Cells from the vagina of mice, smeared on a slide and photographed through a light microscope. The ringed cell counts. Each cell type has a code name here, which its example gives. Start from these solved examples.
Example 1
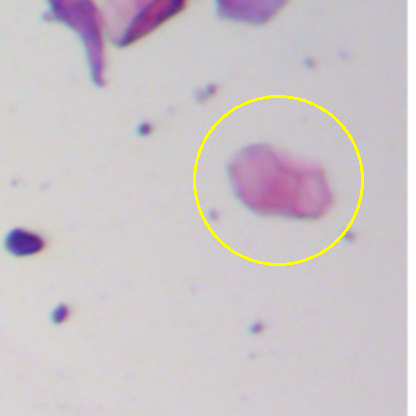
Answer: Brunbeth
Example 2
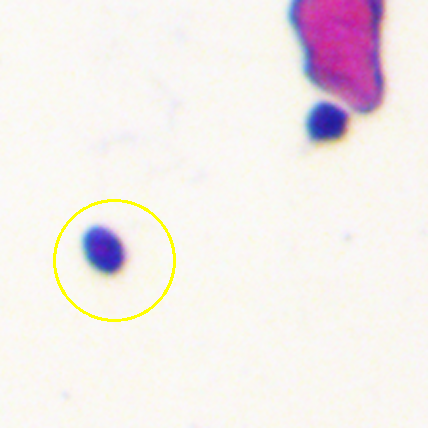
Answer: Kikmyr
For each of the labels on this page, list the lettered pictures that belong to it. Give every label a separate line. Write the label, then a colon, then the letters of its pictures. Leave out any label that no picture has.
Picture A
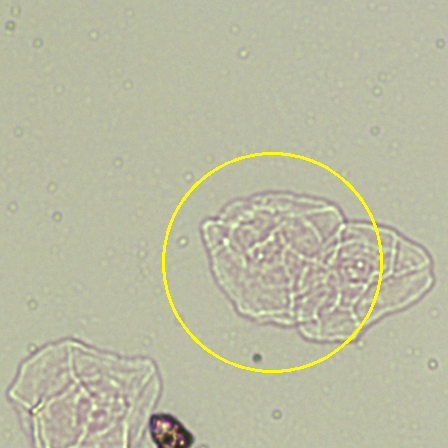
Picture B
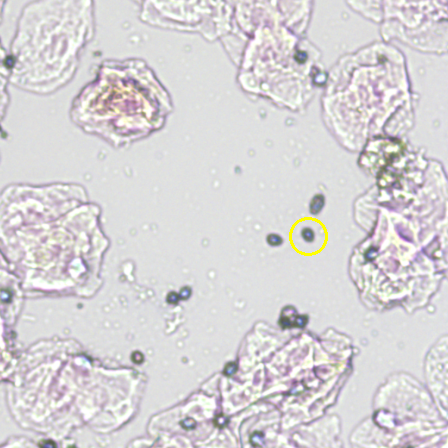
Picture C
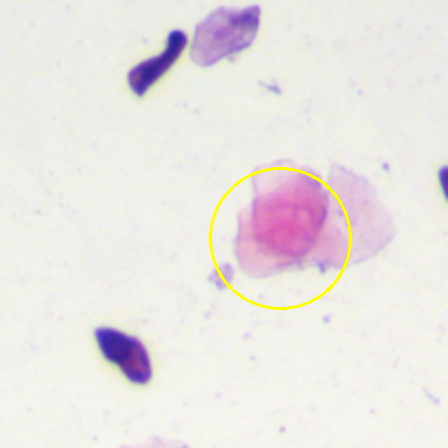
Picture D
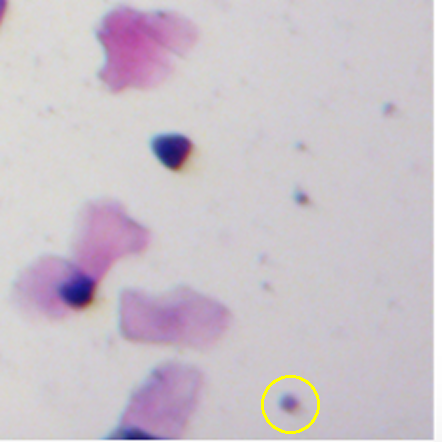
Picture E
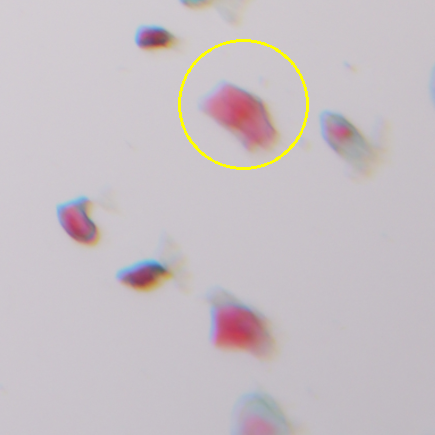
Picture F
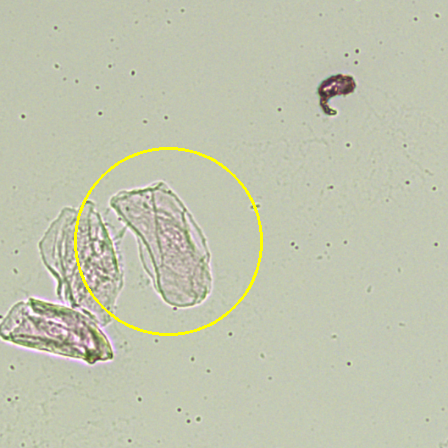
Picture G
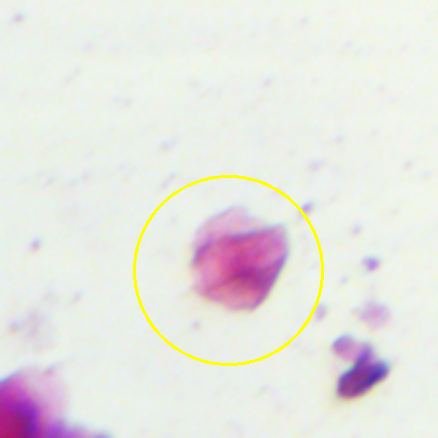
Brunbeth: A, C, E, F, G
Kikmyr: B, D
